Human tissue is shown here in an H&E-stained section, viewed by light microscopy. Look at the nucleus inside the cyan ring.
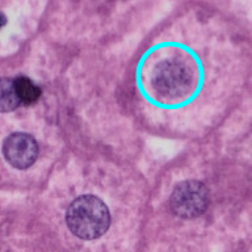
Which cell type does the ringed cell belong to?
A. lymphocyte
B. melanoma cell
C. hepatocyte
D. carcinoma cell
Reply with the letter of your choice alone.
C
